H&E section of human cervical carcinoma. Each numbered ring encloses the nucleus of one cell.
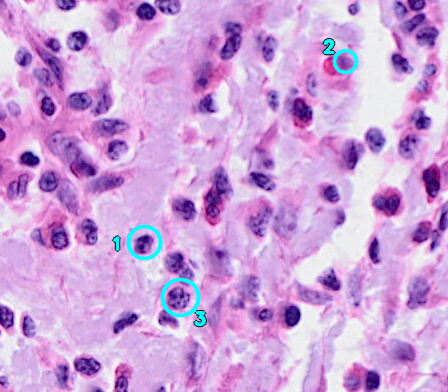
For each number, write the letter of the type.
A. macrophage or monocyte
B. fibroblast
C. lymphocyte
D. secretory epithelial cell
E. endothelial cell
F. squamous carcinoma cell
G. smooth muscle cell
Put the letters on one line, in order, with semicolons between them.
C; E; C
